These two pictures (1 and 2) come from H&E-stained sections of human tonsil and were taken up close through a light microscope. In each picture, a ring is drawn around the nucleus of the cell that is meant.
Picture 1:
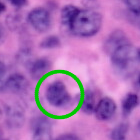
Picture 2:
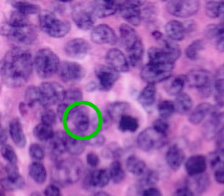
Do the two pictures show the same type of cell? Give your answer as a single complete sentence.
Yes, both cells are proliferating B cells.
